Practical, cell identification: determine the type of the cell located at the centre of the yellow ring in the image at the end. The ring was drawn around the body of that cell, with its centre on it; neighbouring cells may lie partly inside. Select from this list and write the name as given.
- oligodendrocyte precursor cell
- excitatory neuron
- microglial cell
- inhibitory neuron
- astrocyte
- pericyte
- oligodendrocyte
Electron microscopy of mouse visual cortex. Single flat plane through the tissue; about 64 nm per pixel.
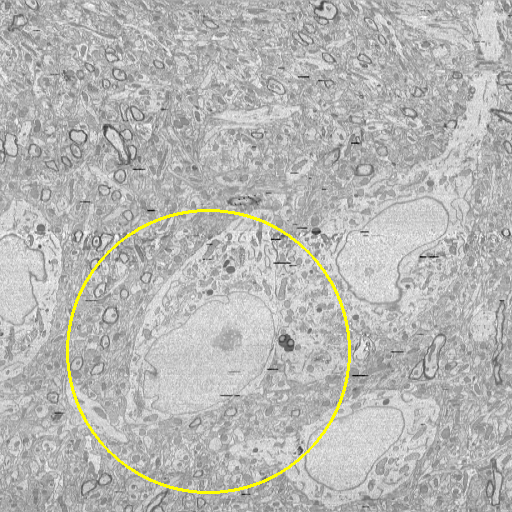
inhibitory neuron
